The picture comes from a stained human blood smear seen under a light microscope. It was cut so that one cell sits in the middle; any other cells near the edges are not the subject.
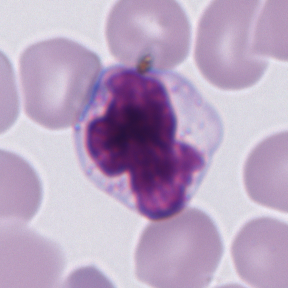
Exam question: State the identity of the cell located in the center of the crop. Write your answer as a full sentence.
This crop is built around a large granular lymphocyte at its centre.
